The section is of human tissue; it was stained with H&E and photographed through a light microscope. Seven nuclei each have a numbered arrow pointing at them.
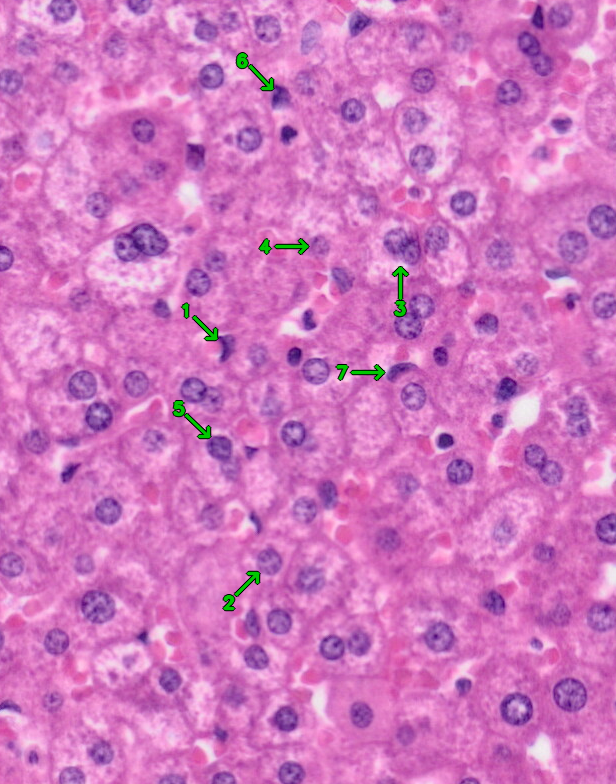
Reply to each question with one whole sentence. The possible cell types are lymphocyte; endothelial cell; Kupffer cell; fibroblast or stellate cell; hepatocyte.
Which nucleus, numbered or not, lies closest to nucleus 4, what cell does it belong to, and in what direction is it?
Lying below and to the right of nucleus 4, the nearest nucleus is that of an endothelial cell.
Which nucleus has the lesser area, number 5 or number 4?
Nucleus 4 covers less area, with nucleus 5 about 1.5 times as large.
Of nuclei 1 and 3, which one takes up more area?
Number 3 is larger; its area is about 2.5 times that of number 1.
